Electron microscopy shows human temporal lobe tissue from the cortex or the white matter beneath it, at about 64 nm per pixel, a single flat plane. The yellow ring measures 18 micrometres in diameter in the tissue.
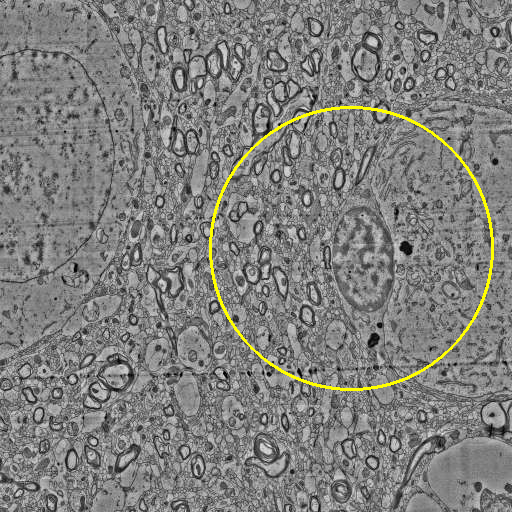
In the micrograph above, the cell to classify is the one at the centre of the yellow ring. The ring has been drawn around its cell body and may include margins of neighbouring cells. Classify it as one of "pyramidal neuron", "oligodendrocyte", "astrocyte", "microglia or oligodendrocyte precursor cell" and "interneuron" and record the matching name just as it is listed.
oligodendrocyte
